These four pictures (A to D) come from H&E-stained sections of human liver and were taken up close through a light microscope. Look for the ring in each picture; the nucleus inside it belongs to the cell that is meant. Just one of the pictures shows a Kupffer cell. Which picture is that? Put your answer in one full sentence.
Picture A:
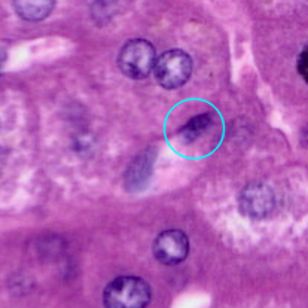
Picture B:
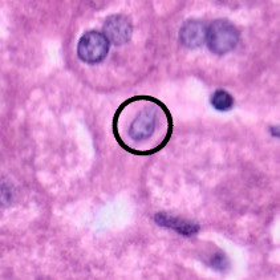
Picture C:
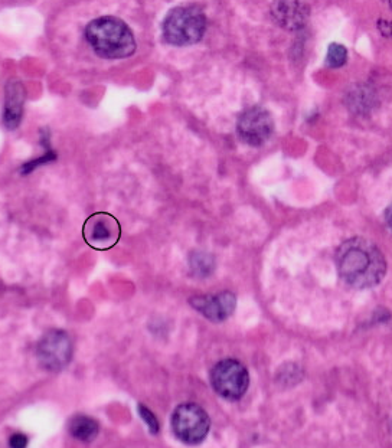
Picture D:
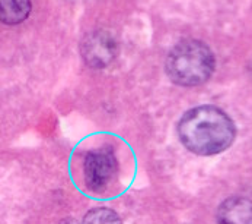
Picture B shows the Kupffer cell.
